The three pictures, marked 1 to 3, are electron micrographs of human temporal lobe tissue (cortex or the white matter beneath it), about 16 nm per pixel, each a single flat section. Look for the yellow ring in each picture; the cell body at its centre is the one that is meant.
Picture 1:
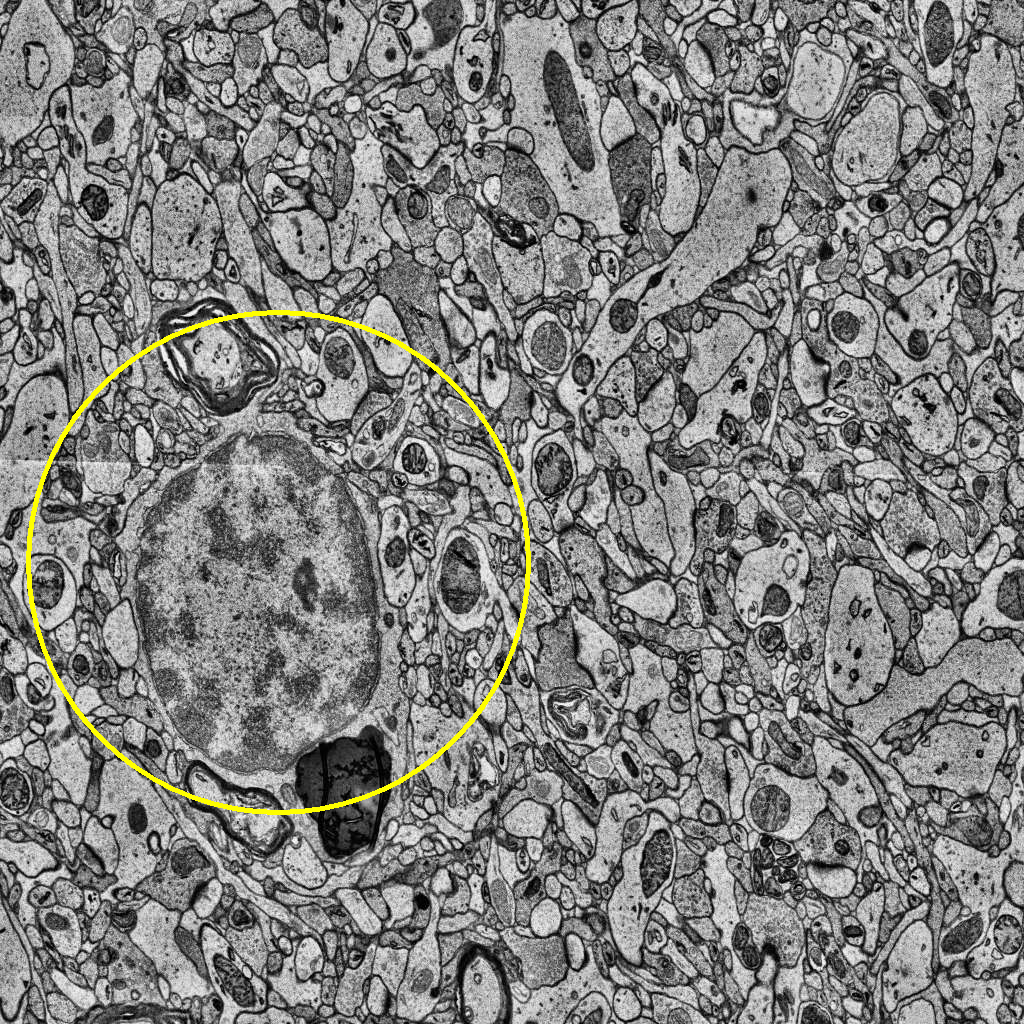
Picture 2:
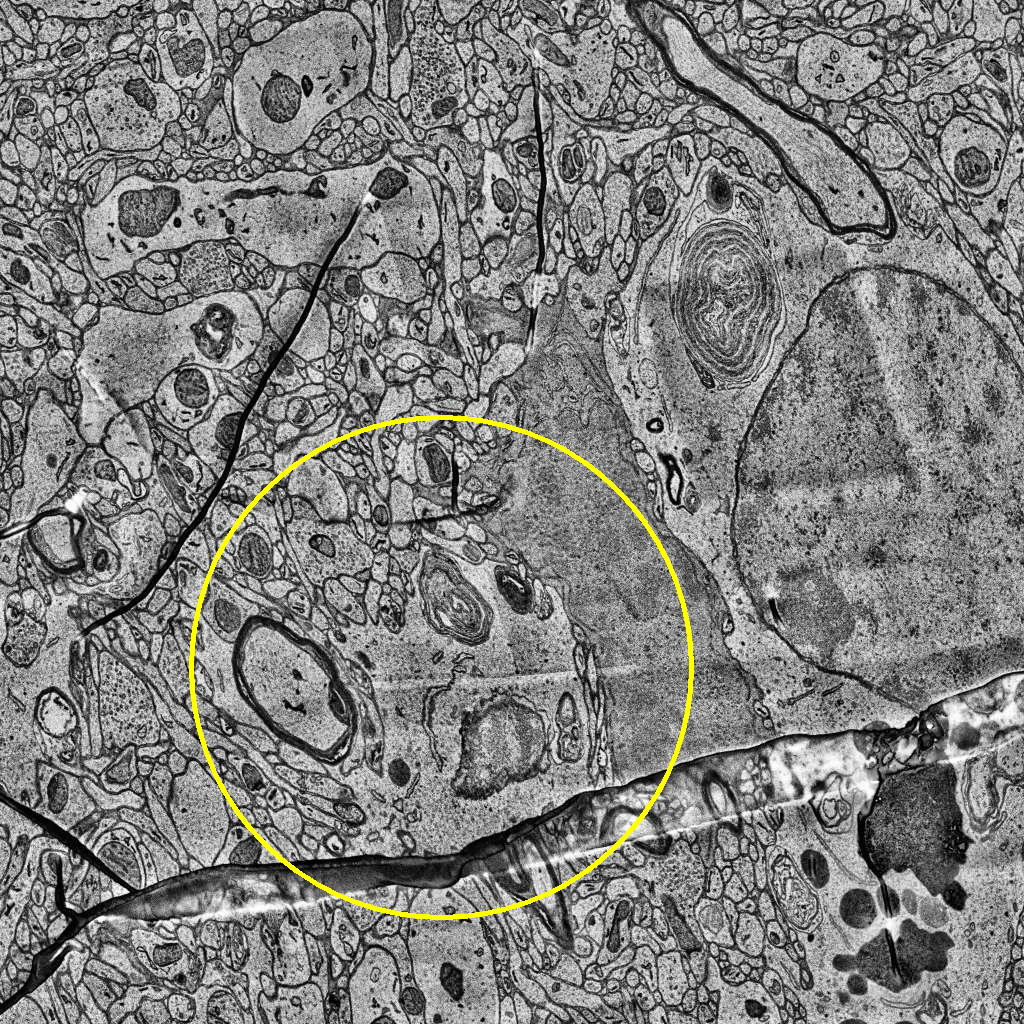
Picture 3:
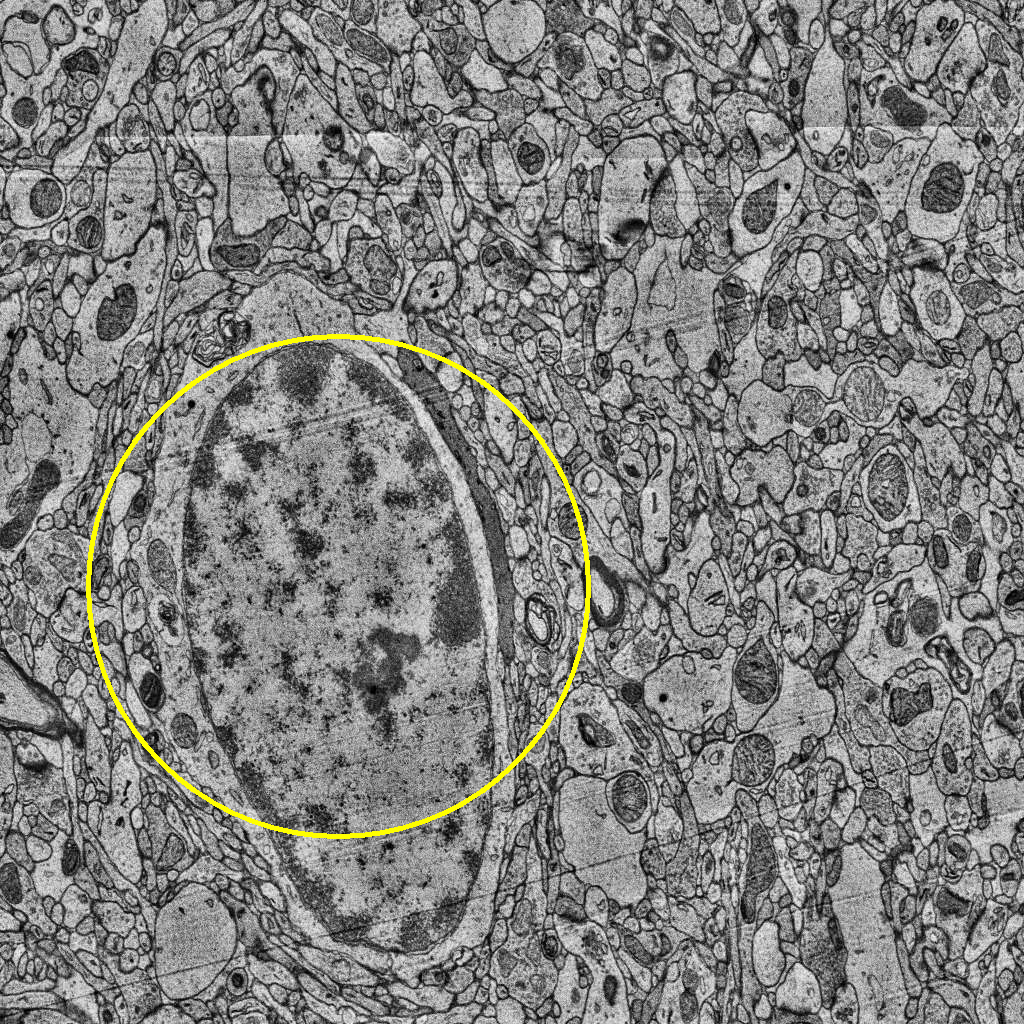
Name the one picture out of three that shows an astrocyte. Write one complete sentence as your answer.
Picture 2 is the one that shows the astrocyte.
